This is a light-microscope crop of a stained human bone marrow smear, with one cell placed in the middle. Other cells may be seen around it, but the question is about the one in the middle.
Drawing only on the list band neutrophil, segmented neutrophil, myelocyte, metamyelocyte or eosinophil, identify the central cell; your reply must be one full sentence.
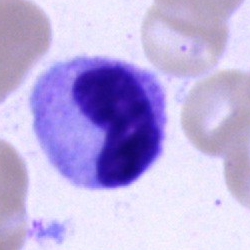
On this slide crop, the central cell is a metamyelocyte.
